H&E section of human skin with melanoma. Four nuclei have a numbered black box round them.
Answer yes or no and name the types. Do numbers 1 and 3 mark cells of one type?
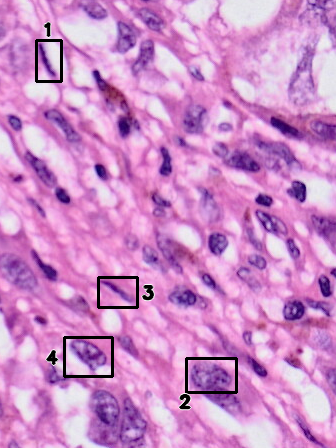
Yes, both are fibroblasts or myofibroblasts.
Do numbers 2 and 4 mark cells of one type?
Yes, both are melanoma cells.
